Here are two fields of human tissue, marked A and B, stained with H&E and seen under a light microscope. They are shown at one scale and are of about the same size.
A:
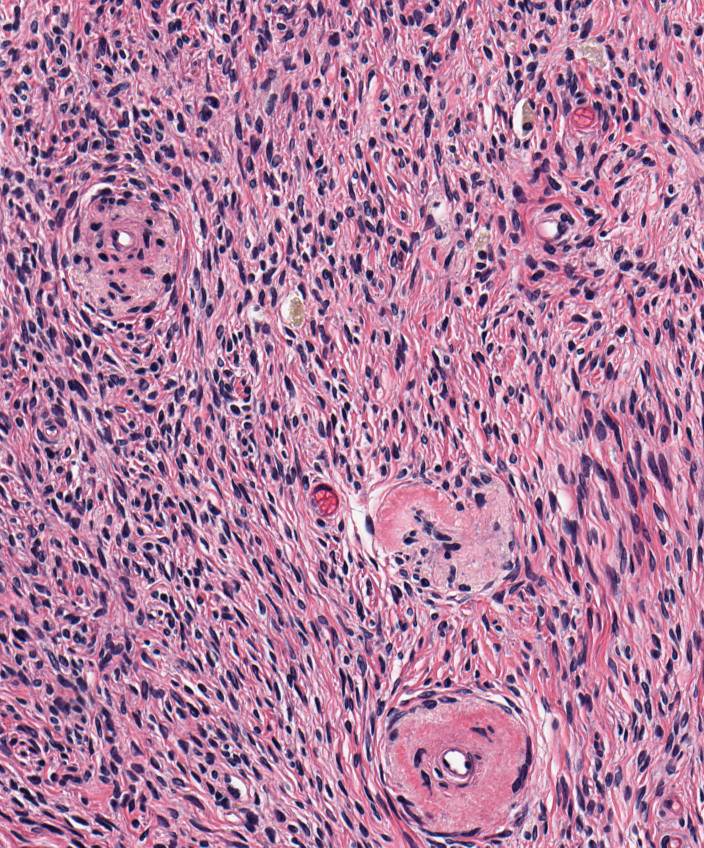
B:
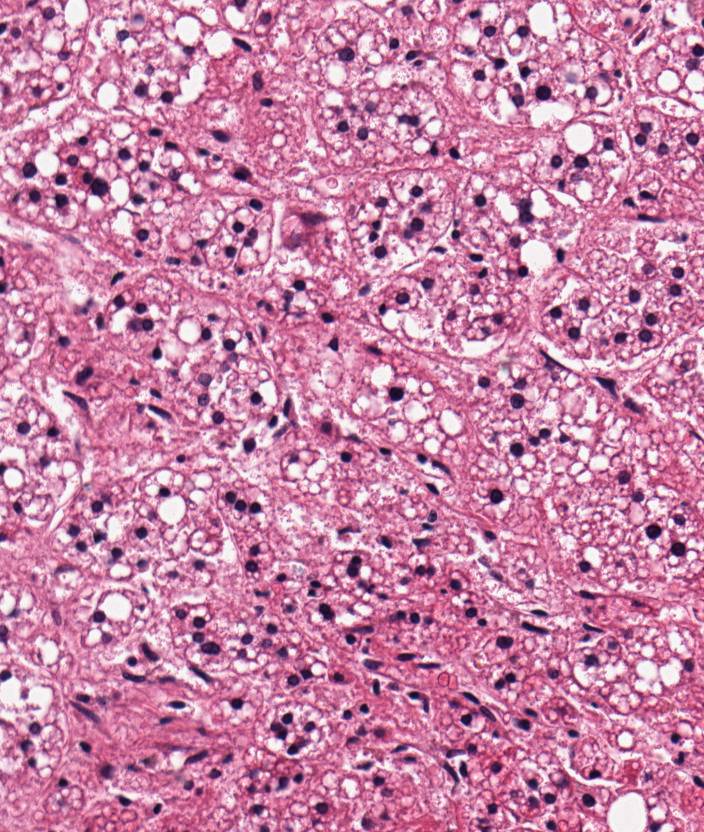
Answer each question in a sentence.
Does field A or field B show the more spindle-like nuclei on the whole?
Longer, more slender nuclei lie in field A.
